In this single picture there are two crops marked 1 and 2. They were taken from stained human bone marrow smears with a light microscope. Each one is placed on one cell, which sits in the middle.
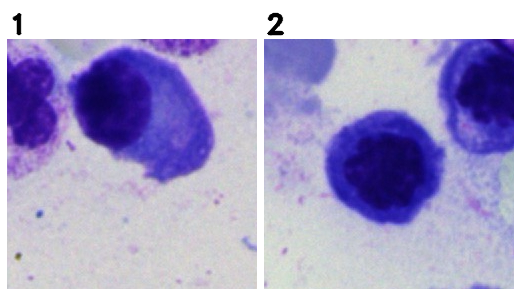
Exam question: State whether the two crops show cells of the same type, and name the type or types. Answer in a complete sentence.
No, the cell centred in crop 2 is an erythroblast; crop 1 centres on a plasma cell.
